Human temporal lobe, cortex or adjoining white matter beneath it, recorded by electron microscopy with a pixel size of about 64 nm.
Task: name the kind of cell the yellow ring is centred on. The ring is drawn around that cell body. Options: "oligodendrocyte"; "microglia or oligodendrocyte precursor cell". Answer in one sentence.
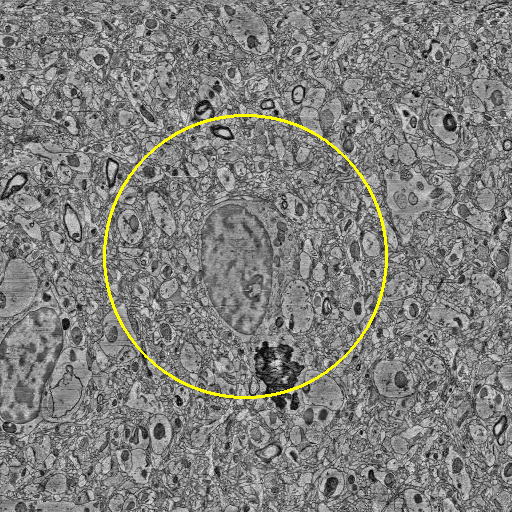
This cell body belongs to an oligodendrocyte.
